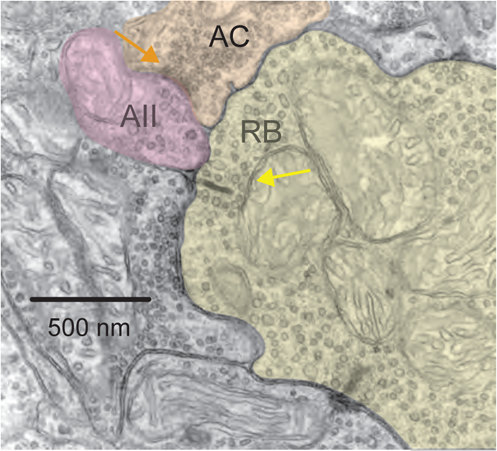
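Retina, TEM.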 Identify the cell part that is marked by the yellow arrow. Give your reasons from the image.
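The yellow arrow points to a dark, elongated bar-shaped density at the membrane of the yellow-tinted terminal. Many small round vesicles fill the yellow-tinted terminal around this density. So: synaptic ribbon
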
